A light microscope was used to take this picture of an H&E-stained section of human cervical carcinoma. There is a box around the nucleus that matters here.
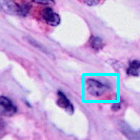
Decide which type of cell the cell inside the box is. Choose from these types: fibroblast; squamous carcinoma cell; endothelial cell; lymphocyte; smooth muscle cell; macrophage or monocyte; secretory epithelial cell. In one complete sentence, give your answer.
In this tissue section, the cell inside the box is to be classed as a macrophage or monocyte.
